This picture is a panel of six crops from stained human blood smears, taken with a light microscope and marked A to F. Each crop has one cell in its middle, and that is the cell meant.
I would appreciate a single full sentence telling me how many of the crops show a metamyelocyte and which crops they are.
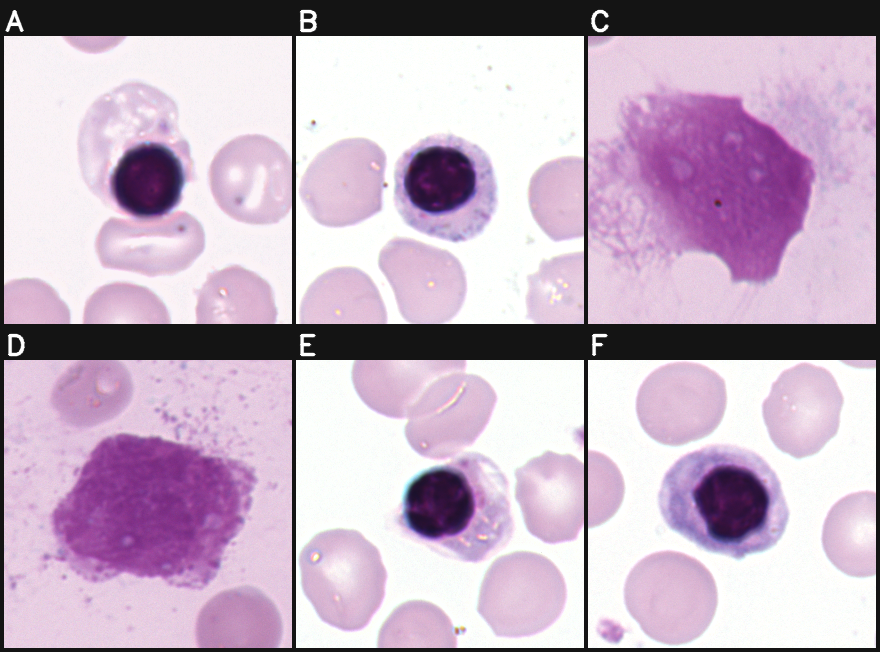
None of these crops has metamyelocytes in it, so the count comes to zero.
